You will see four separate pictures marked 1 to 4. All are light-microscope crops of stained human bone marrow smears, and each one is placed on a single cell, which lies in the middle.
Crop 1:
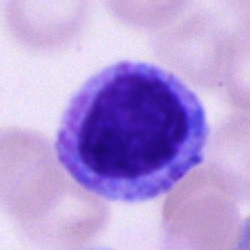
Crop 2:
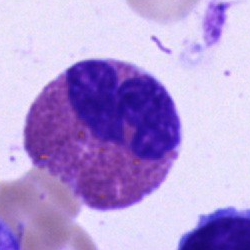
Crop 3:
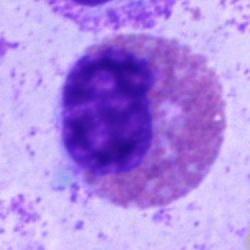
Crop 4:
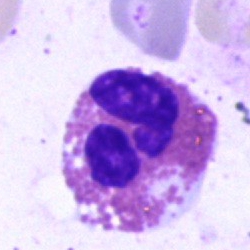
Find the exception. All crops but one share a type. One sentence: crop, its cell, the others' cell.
Crop 1 is the different one, a myelocyte, while the rest are eosinophils.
